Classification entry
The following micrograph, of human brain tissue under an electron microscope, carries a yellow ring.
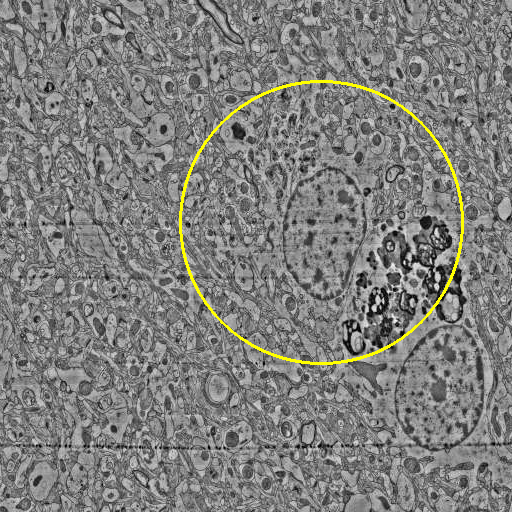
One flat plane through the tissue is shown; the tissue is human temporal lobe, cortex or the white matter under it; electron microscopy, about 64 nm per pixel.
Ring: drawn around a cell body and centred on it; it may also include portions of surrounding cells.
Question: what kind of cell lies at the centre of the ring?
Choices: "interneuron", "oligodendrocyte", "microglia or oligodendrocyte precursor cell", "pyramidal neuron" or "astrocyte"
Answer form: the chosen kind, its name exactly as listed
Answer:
astrocyte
